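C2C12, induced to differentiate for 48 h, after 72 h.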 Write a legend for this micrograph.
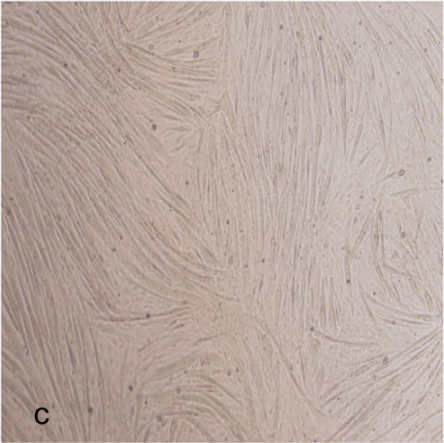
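This is a dense, unstained culture of muscle-forming cells in which many long, slender myotubes have formed. The field is packed edge to edge with elongated, spindle-shaped cells and much longer thin fibres that run side by side. They gather into broad parallel streams that curve and sweep across the dish, meeting at angles in places, so the whole culture looks combed or swirled. A few small, dark, rounded bodies sit scattered on top, likely detached or rounded cells. No staining is used, so only outlines and contrast are seen.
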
